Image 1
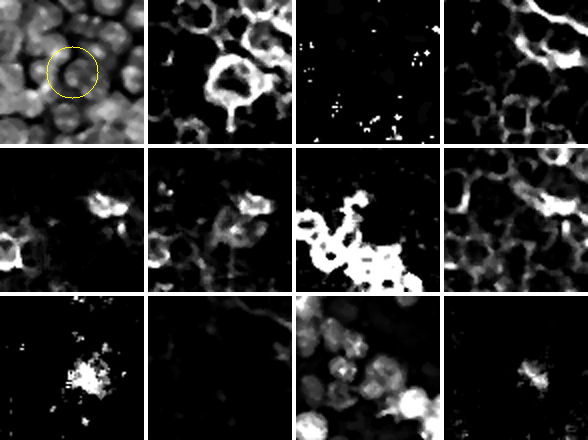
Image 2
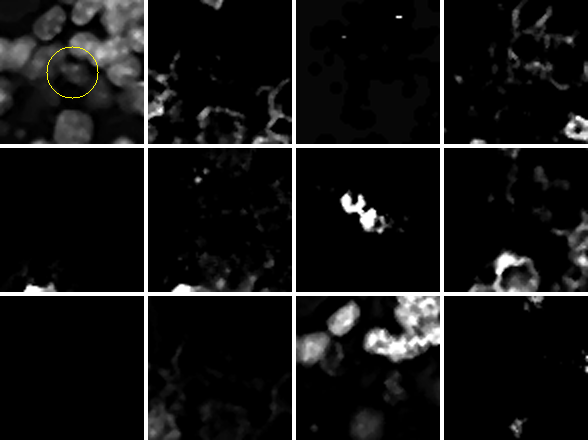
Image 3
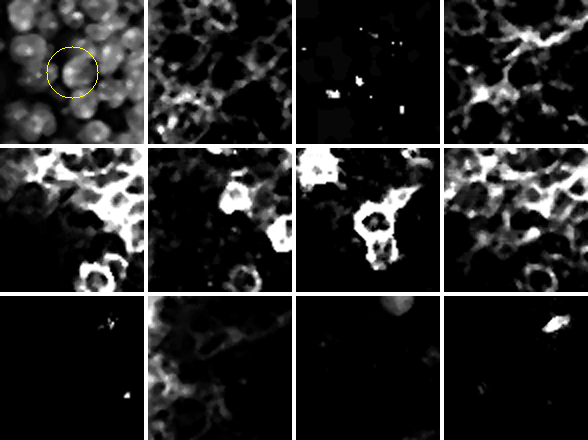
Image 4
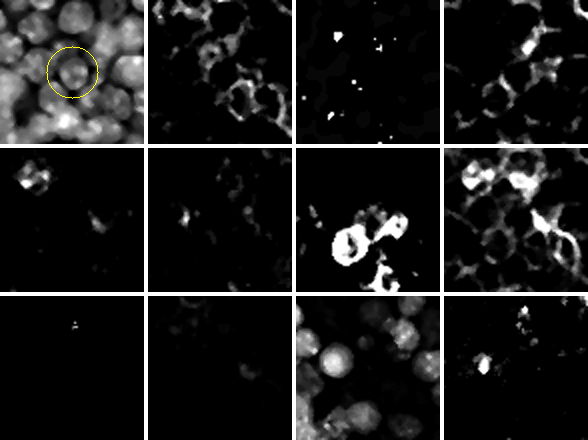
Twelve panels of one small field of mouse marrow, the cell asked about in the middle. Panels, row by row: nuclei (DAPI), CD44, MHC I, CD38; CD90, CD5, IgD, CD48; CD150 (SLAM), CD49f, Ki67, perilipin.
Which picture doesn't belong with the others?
Picture 1.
